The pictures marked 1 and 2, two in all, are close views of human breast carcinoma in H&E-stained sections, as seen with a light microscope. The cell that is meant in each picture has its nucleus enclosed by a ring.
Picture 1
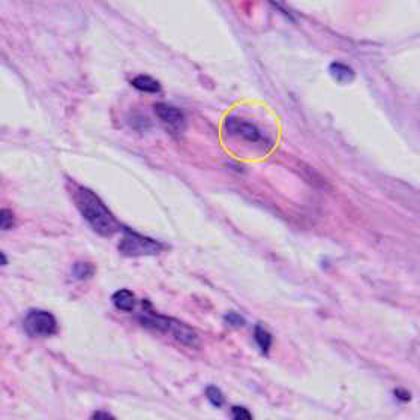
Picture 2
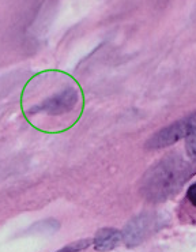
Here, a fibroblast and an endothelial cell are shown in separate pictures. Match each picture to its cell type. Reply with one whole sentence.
In picture 1 the cell is an endothelial cell; in picture 2, a fibroblast.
